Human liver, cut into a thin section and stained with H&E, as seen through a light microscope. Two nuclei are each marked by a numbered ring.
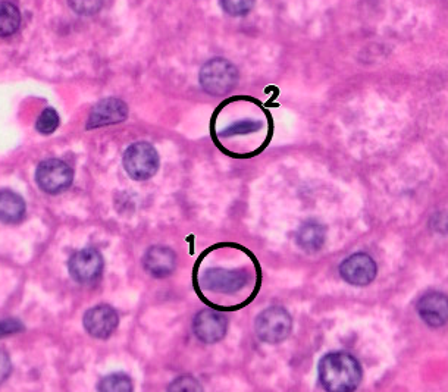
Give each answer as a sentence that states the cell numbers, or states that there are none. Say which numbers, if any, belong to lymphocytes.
Unlike the other numbered cells, cell 2 is a lymphocyte.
